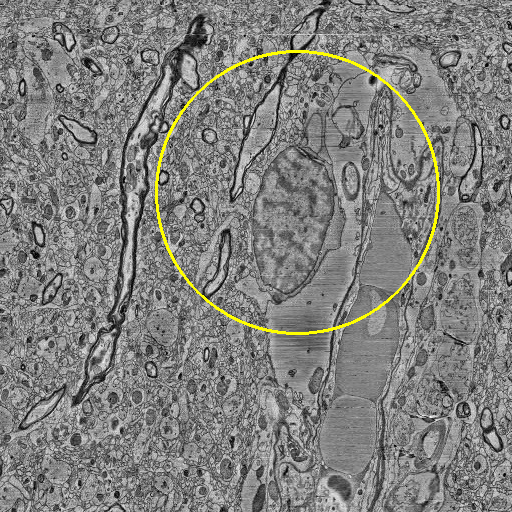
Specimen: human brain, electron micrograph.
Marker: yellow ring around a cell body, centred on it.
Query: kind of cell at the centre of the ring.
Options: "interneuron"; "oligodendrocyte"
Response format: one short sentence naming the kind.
This cell body belongs to an oligodendrocyte.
